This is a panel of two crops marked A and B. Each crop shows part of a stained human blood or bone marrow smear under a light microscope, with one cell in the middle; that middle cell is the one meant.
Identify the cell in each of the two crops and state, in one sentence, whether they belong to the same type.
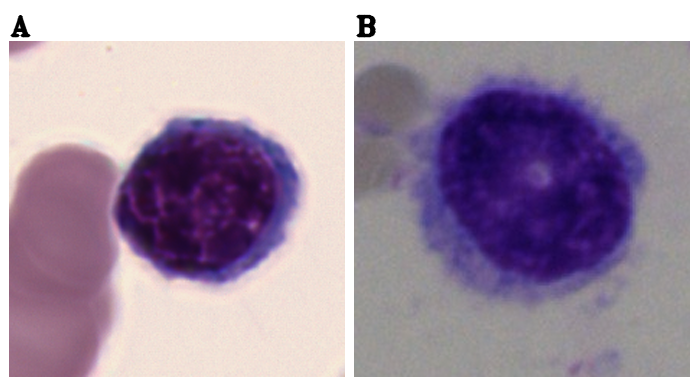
No, crop B centres on a hairy cell, and crop A centres on a plasma cell.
